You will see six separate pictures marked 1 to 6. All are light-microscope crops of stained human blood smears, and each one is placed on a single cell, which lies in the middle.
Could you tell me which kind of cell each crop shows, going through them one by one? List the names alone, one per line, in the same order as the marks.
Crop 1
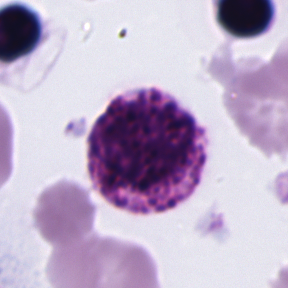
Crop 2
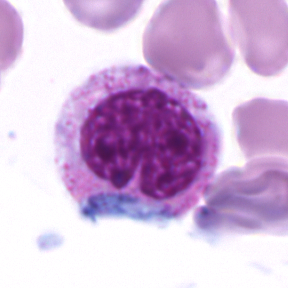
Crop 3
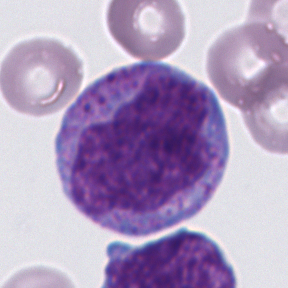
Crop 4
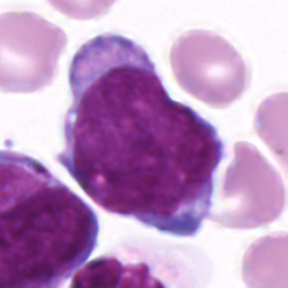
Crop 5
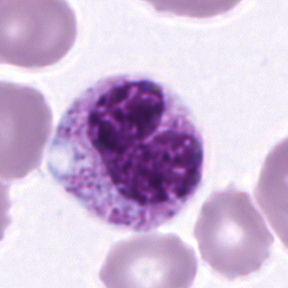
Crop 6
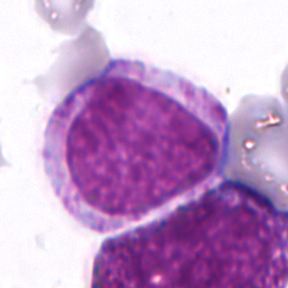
basophil
band neutrophil
atypical promyelocyte
atypical promyelocyte
band neutrophil
promyelocyte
